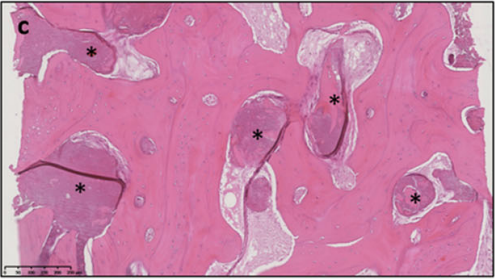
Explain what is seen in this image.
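This field shows lamellar bone stained pink, with osteocytes entrapped in the extracellular matrix. The bone matrix forms broad, continuous masses with faint layered lines and scattered small lacunae holding the osteocytes. Embedded in and around the bone are several rounded, darker purple-pink particles, each marked by an asterisk, some with a pale rim or cleft separating them from the surrounding bone. Pale, loose spaces lie between the bone masses. A few dark folds and cracks cross the section.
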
